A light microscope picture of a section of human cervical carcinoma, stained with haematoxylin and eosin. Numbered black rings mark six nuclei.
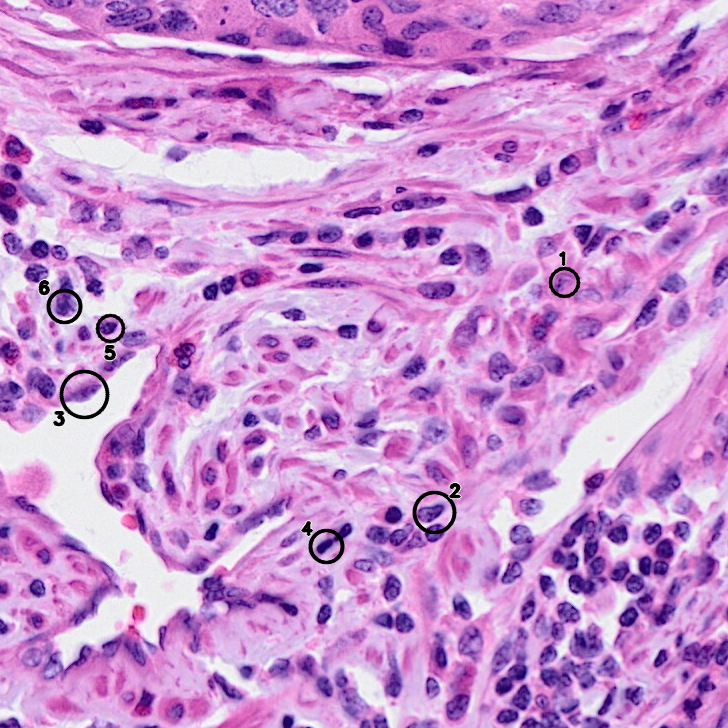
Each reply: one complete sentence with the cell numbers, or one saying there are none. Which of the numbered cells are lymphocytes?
The cells that the numbers 2, 4, 5 and 6 belong to are lymphocytes.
